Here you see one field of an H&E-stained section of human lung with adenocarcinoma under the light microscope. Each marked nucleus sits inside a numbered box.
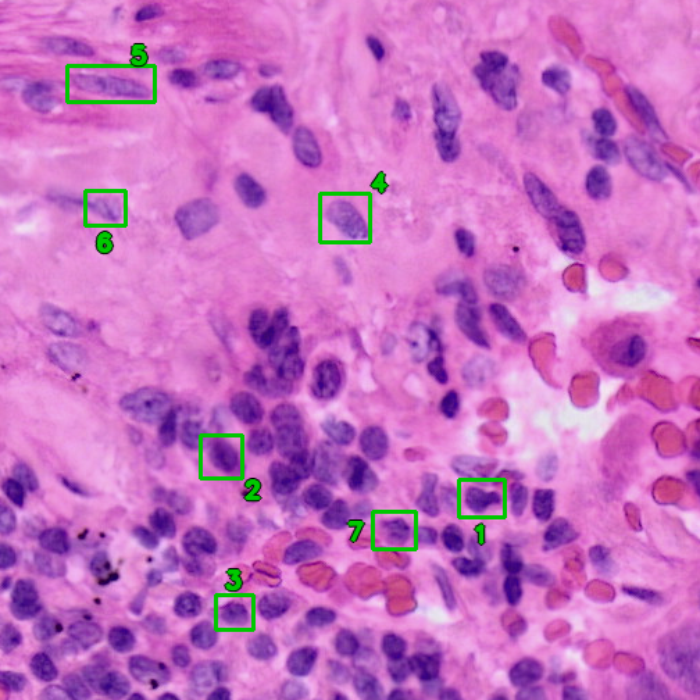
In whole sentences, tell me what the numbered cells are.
Cell 1 is a lymphocyte, cell 2 is a plasma cell, cell 3 is a lymphocyte, cell 4 is a fibroblast, cell 5 is a smooth muscle cell or pericyte, cell 6 is a fibroblast and cell 7 is a lymphocyte.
